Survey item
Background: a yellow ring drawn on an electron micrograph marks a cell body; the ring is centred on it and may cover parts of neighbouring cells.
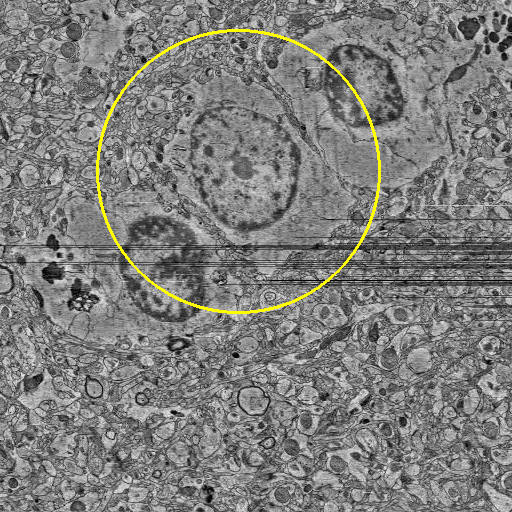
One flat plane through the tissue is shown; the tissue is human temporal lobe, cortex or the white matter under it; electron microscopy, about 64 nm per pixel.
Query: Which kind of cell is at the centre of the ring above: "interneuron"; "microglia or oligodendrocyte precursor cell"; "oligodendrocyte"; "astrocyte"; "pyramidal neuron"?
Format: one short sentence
The cell in the middle of the ring is an astrocyte.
